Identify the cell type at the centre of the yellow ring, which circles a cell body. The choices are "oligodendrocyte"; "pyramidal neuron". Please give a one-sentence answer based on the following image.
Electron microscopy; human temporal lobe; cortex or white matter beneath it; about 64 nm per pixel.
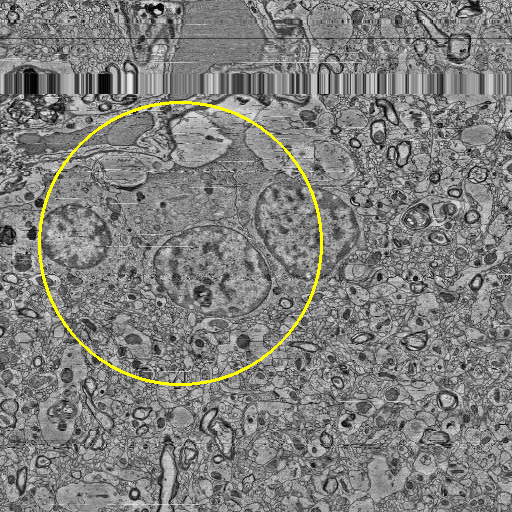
The cell marked by the ring is an oligodendrocyte.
